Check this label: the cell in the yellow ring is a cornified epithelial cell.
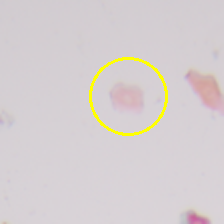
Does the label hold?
The label holds; the cell is a cornified epithelial cell.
